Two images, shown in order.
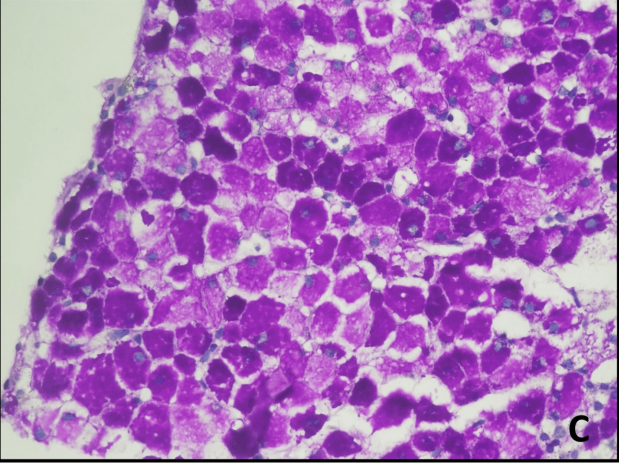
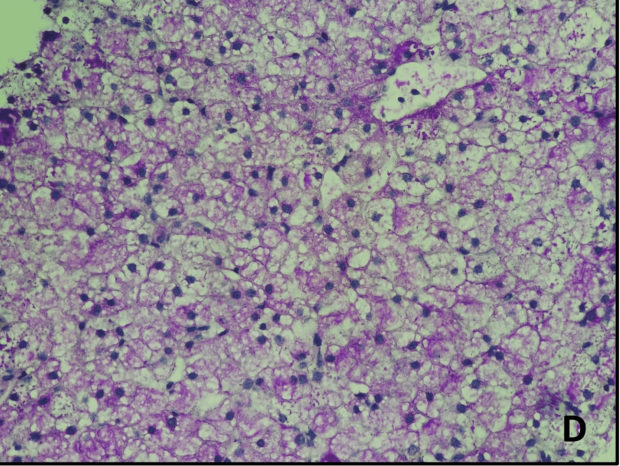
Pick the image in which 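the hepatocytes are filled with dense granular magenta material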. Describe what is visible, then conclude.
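Second image: hepatocyte cytoplasm is pale and clear with only faint magenta strands. First image: many hepatocytes are filled with dense dark magenta staining.
Answer: the first image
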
